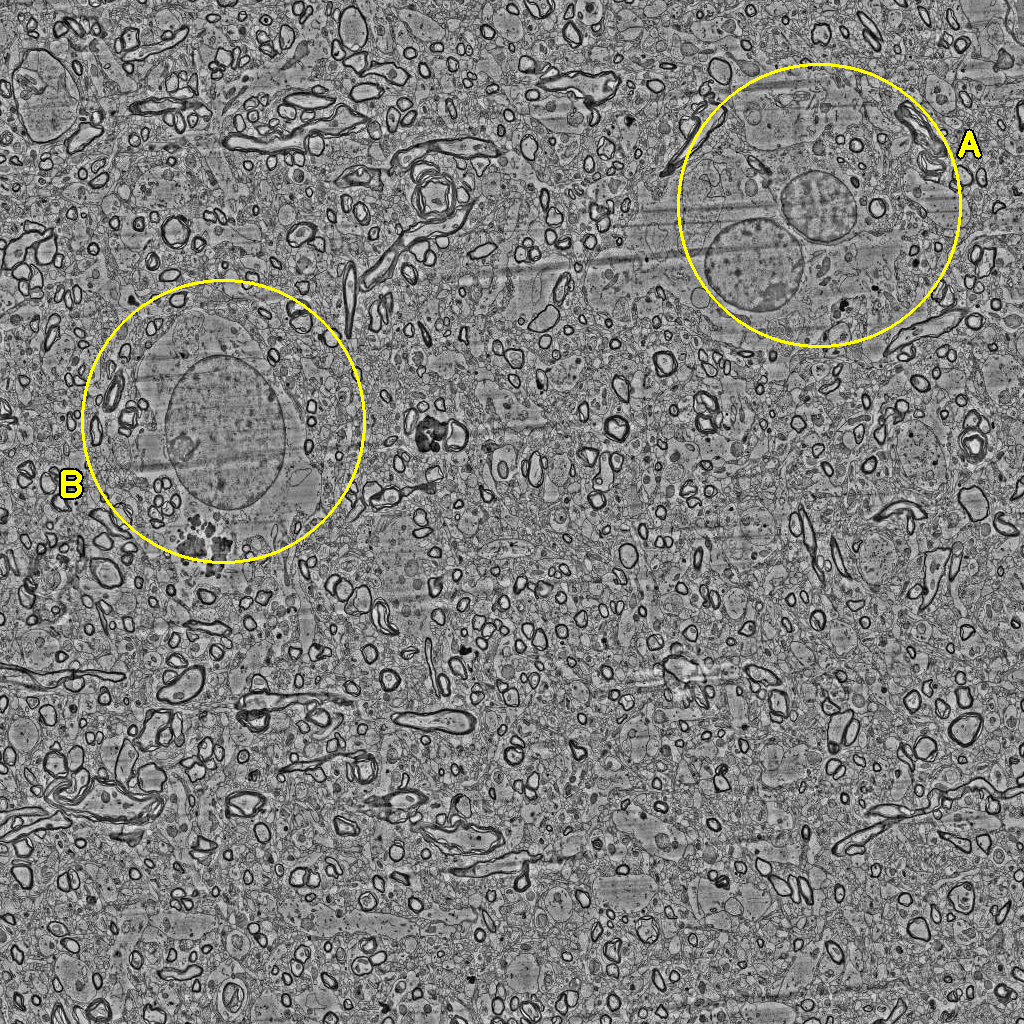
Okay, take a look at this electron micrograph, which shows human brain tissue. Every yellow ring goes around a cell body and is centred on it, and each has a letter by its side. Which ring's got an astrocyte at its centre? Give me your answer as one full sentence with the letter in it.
The one you're after is ring B, centred on the cell you asked about.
